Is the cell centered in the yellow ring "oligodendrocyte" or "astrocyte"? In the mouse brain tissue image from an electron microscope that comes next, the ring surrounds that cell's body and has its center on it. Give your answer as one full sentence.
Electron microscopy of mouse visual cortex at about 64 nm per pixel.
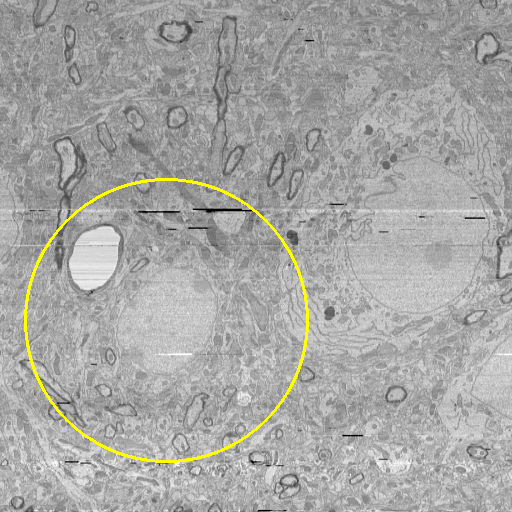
The cell at the center of the yellow ring is an astrocyte in the micrograph.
